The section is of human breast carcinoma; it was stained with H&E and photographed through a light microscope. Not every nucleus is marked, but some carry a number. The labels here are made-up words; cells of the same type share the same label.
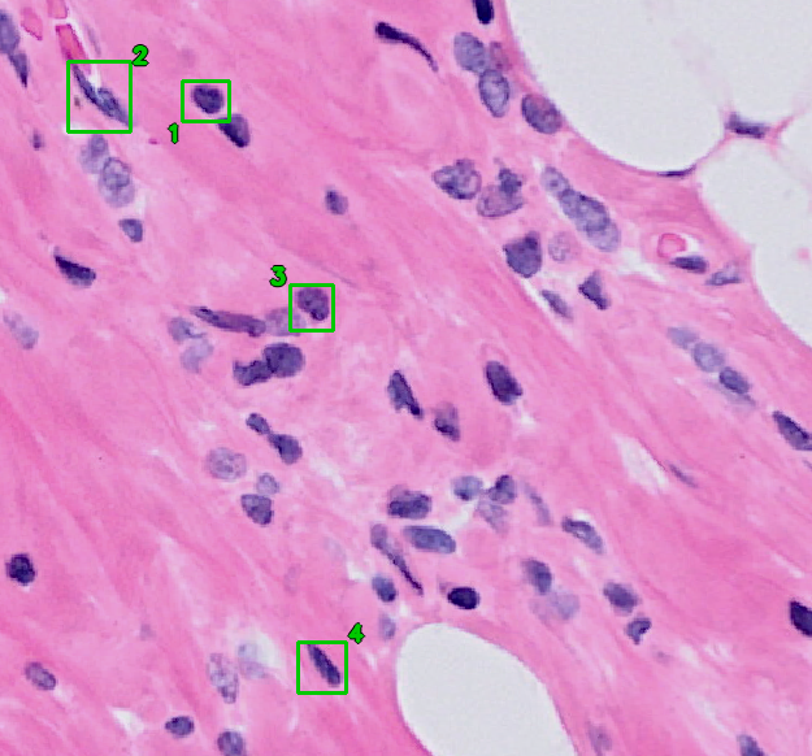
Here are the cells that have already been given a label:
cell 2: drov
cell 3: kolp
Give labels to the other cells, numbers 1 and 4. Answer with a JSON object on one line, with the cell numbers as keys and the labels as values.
{"1": "kolp", "4": "kolp"}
